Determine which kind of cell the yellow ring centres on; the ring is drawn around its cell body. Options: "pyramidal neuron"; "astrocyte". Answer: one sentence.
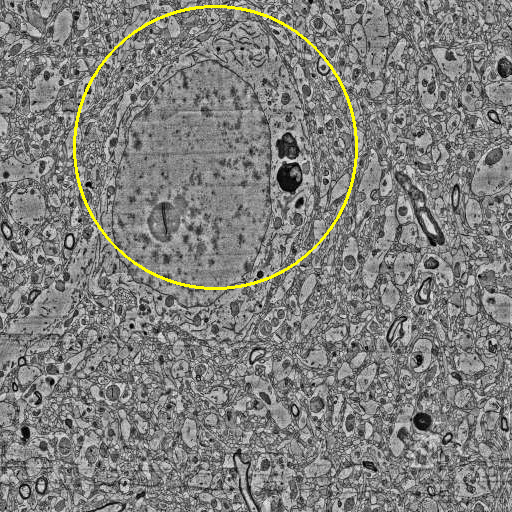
The ring centres on a pyramidal neuron.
